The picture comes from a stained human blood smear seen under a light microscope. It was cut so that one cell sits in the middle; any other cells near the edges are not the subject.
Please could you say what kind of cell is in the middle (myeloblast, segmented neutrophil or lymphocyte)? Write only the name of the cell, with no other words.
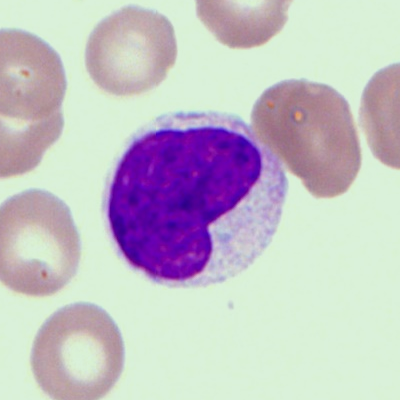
lymphocyte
